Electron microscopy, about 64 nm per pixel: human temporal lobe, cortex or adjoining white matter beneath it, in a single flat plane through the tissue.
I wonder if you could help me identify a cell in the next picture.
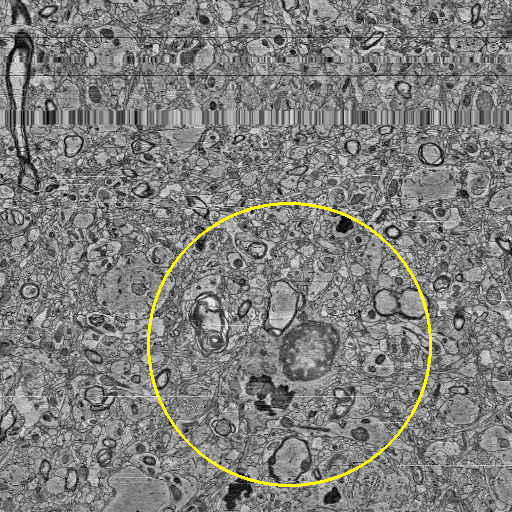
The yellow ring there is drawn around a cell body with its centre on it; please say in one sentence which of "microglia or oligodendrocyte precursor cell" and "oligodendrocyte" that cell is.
The yellow ring is centred on an oligodendrocyte.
